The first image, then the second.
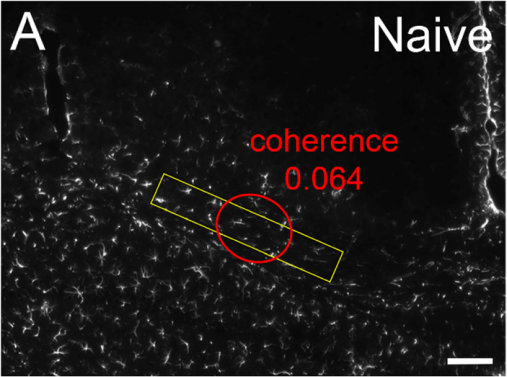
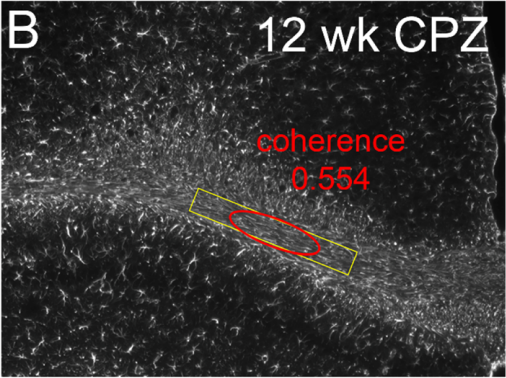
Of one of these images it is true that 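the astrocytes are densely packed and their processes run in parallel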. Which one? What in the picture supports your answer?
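Second image: a bright, crowded band of labeled cells with processes running along the band. First image: sparse labeled cells with processes pointing in many directions. So: the second image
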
